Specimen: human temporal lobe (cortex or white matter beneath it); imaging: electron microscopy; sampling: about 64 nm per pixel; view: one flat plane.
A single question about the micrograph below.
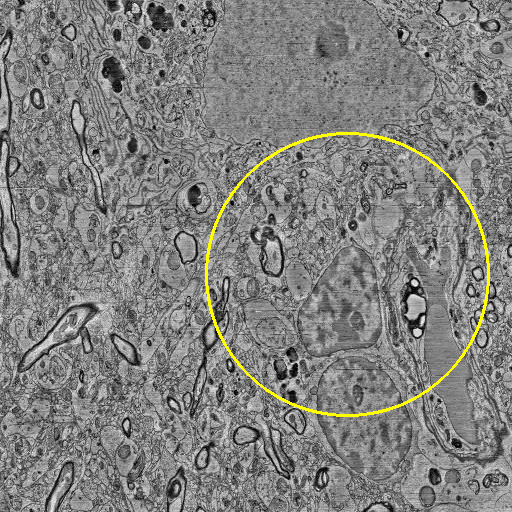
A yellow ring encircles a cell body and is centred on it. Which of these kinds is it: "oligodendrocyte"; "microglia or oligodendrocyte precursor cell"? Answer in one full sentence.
The cell body at the centre of the yellow ring belongs to a microglial cell or oligodendrocyte precursor cell.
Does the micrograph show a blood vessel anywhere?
Yes, there is one.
